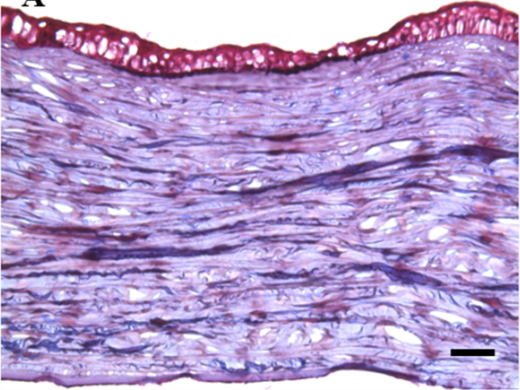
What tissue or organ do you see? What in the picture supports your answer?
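A thin stratified cellular layer, stained red, covers the upper surface. Beneath it lies a thick layer of regular, parallel lamellae. No blood vessels are seen in the thick lamellar layer.
Hence: corneal tissue.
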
